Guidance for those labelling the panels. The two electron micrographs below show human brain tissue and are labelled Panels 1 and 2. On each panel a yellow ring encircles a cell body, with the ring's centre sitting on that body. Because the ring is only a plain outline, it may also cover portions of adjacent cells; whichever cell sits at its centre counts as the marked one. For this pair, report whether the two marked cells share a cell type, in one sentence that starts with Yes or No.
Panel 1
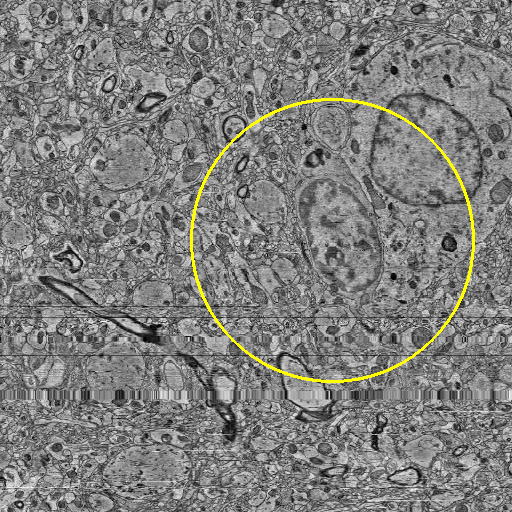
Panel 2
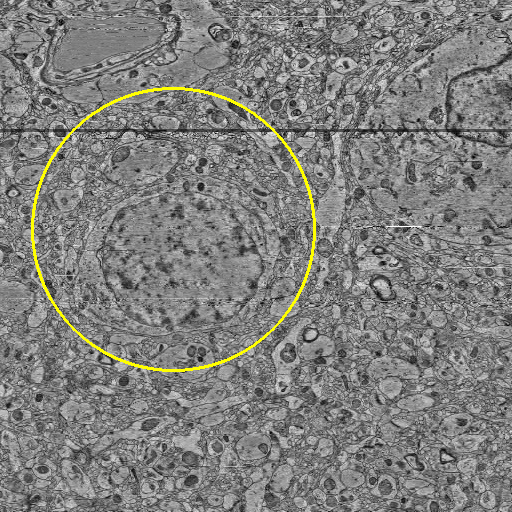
No, in Panel 1 and Panel 2 the marked cells at the ring centres are of two types.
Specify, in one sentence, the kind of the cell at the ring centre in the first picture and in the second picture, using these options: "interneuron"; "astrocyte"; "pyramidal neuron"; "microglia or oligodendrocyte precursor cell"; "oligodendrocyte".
So the first is an oligodendrocyte, the second an interneuron.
